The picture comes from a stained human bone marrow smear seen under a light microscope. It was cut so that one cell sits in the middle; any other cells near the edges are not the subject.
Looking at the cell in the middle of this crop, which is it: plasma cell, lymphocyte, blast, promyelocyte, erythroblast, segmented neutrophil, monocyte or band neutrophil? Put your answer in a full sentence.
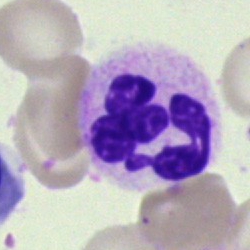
In the central position of this crop, the cell is a segmented neutrophil.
